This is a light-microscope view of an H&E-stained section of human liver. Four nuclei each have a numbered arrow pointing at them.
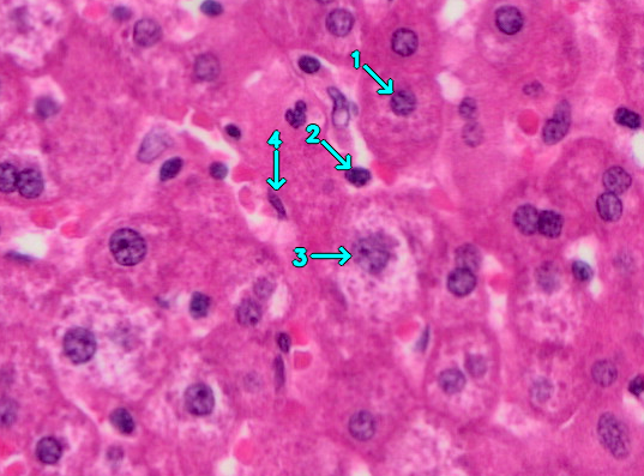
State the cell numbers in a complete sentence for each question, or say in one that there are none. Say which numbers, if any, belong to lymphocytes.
Only the cell at mark 2 is a lymphocyte, and no other marked cell is.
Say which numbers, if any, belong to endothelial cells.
The numbered cells include exactly one that is an endothelial cell, which is cell 4.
